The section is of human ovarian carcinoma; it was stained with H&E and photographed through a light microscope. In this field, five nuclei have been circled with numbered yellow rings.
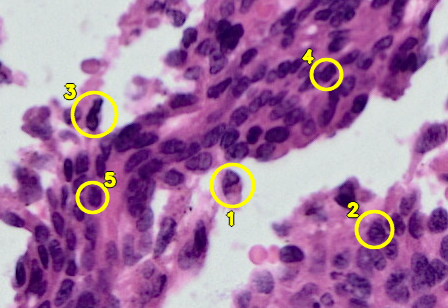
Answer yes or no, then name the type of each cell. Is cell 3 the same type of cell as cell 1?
Yes, cells 3 and 1 both qualify as macrophages or monocytes.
